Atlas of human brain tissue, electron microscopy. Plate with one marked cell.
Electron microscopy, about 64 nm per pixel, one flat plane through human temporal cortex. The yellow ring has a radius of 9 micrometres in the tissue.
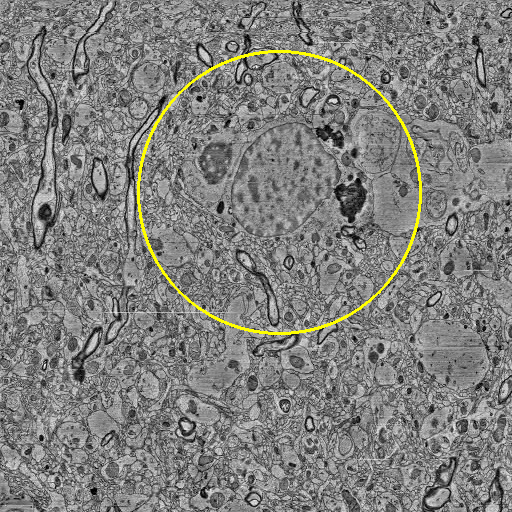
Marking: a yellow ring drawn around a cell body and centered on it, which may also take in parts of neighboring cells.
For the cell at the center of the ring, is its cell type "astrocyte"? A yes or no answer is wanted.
No, its cell type is another one.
